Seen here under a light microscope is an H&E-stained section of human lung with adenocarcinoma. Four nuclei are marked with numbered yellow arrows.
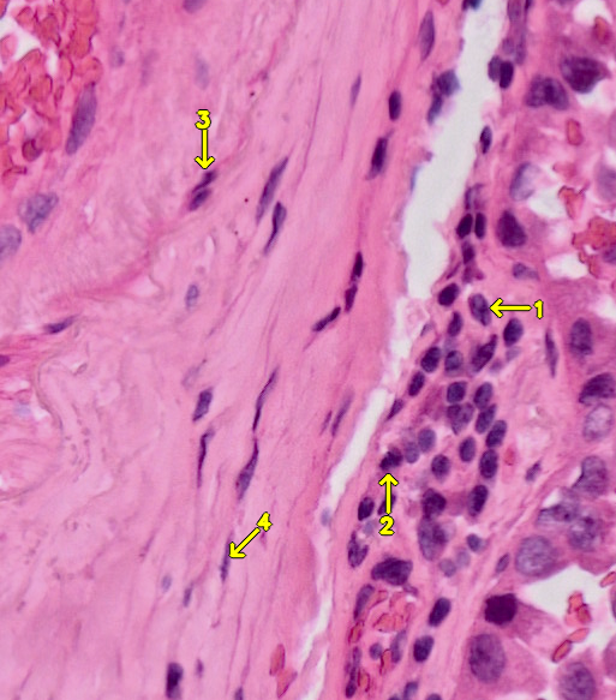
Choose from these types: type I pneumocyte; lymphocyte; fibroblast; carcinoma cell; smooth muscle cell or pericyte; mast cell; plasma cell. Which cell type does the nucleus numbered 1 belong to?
lymphocyte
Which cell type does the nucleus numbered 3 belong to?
smooth muscle cell or pericyte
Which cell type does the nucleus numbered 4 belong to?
fibroblast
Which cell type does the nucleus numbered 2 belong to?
plasma cell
